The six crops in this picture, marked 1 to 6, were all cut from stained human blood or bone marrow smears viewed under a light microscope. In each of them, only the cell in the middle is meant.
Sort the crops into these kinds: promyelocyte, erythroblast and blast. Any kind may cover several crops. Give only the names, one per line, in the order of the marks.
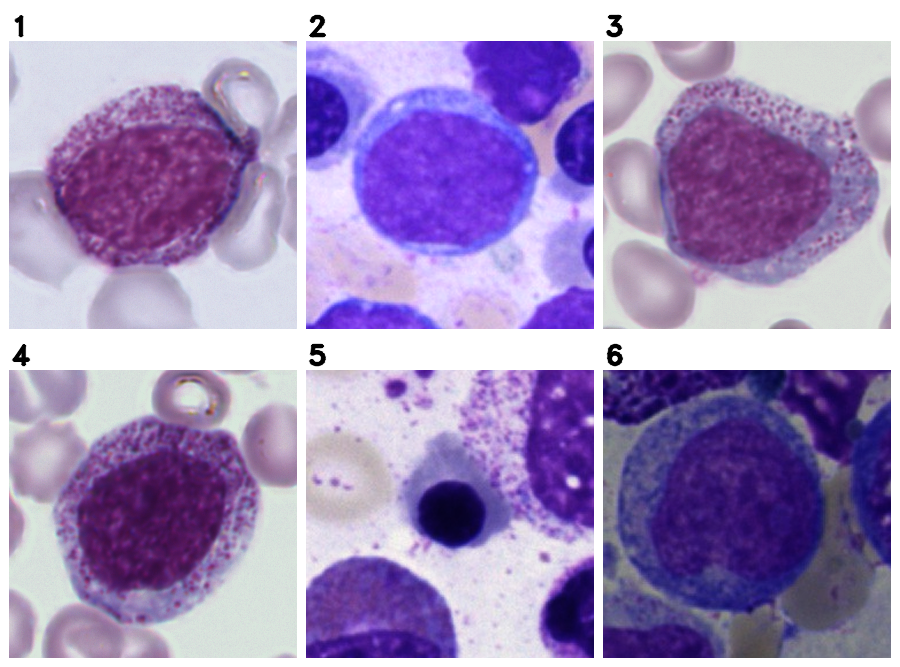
promyelocyte
blast
promyelocyte
promyelocyte
erythroblast
blast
